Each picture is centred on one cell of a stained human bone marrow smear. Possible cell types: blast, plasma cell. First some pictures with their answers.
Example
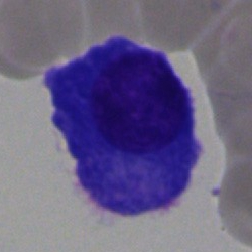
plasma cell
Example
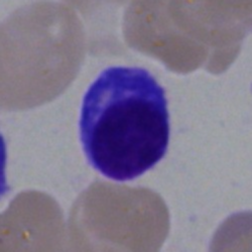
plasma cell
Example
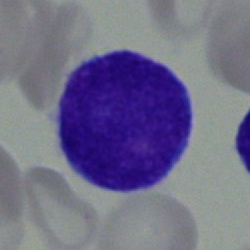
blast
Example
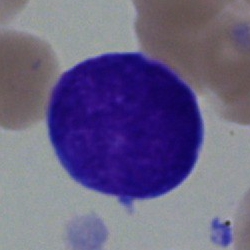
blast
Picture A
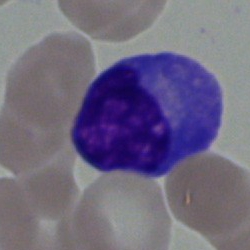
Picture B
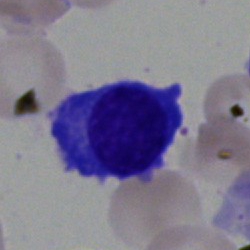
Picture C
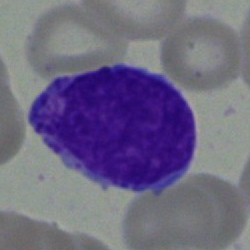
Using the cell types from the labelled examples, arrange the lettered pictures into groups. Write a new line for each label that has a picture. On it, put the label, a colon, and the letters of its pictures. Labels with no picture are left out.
blast: C
plasma cell: A, B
